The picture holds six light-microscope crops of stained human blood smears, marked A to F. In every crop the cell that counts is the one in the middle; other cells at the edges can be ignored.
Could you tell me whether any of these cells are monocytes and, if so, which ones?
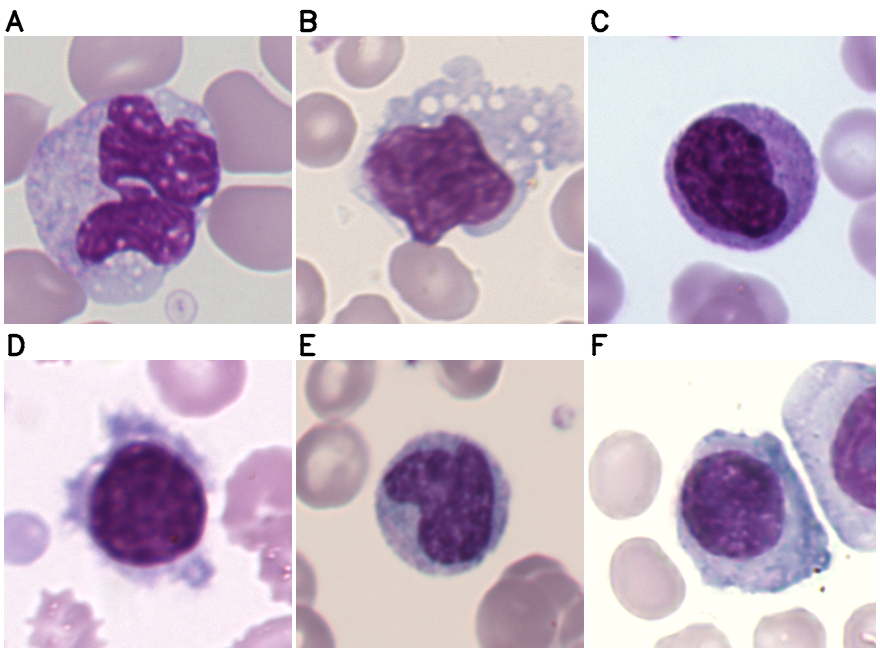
A, C, E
